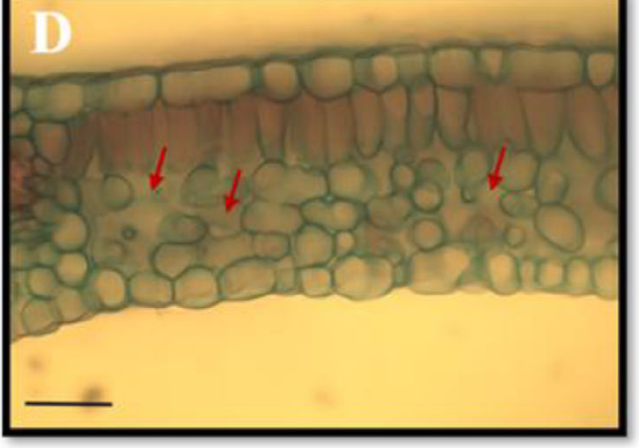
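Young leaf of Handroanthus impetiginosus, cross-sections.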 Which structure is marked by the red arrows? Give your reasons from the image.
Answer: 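The arrows point to clear gaps among loosely packed rounded cells below the columnar cell layer. That points to this answer: intercellular space.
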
